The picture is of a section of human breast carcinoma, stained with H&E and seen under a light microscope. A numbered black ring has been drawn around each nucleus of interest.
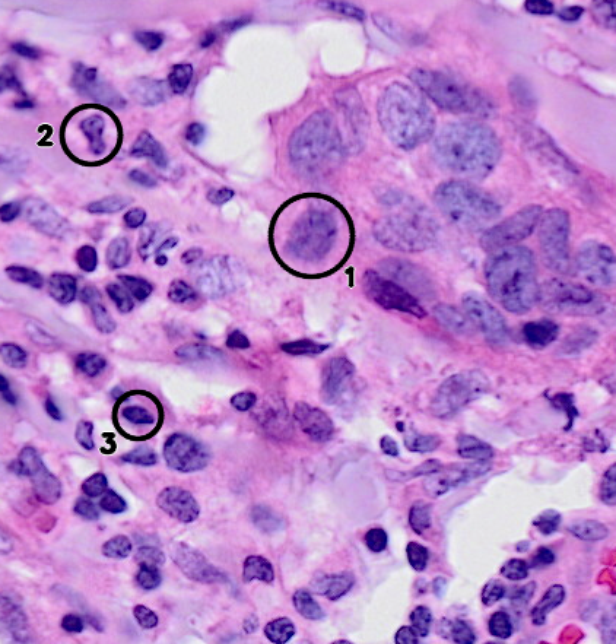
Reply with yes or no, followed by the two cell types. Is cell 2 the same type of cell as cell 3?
Yes, both are lymphocytes.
